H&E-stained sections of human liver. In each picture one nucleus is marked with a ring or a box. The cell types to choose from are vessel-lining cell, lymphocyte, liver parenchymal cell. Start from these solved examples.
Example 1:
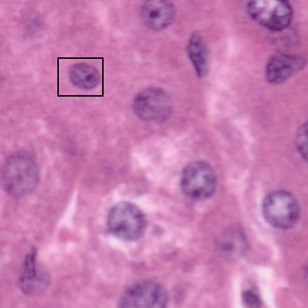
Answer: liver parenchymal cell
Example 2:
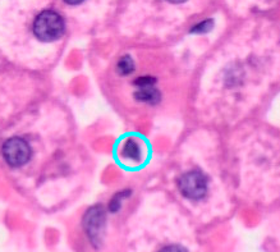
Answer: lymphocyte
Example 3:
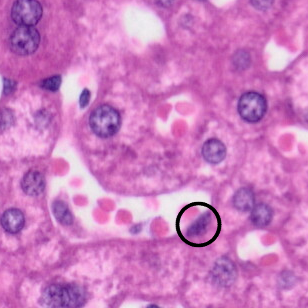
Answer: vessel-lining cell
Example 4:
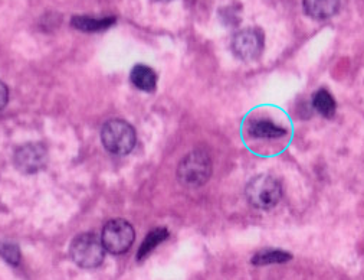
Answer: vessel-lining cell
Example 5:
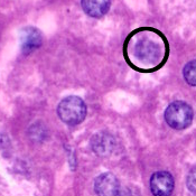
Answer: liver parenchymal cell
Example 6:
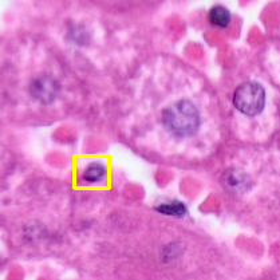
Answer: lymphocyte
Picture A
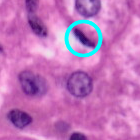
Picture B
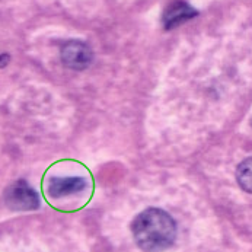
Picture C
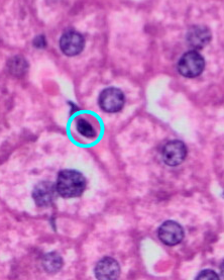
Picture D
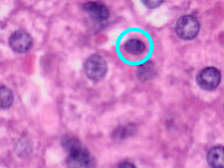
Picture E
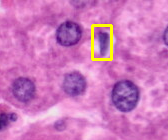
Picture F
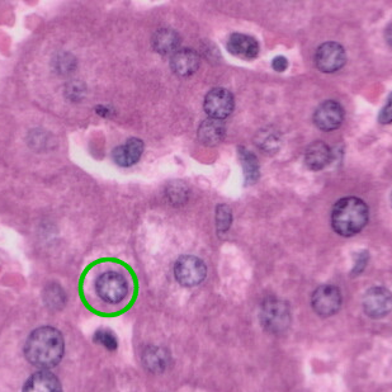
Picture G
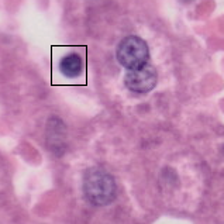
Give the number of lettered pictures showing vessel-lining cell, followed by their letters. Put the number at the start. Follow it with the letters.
2: A, E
